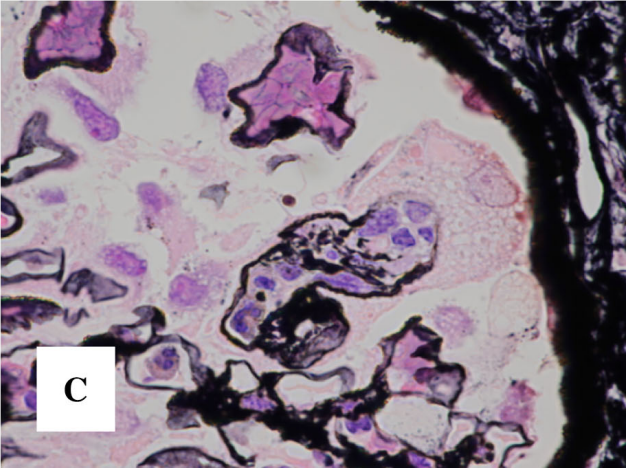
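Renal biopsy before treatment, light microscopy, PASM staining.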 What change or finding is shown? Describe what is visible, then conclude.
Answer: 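Black-outlined capillary loops are wrinkled and folded with narrowed lumens. So: segmental capillary collapse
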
